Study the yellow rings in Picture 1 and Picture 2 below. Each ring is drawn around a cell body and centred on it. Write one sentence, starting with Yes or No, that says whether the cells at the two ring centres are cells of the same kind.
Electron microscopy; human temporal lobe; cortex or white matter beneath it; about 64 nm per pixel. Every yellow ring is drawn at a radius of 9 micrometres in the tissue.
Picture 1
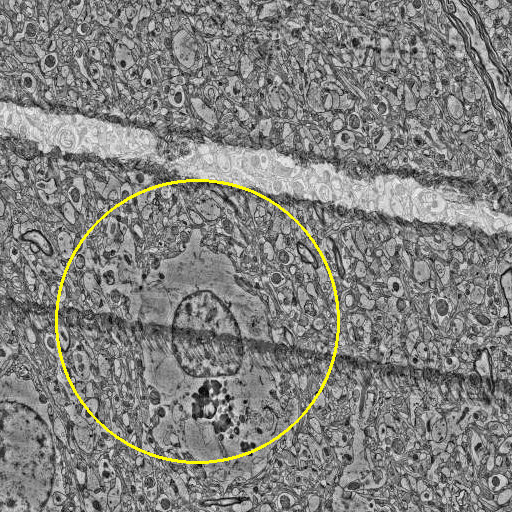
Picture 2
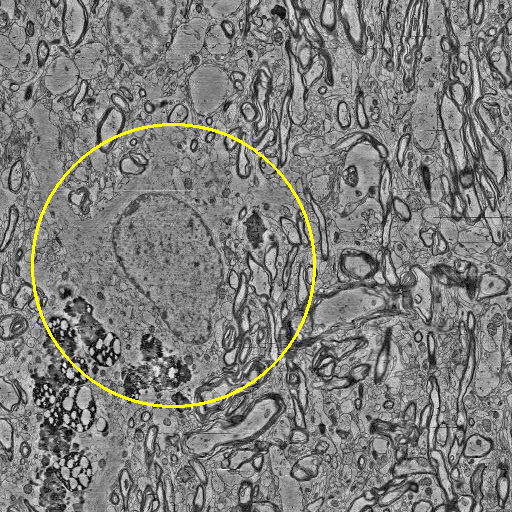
Yes, the cells at both ring centres are of the same kind.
